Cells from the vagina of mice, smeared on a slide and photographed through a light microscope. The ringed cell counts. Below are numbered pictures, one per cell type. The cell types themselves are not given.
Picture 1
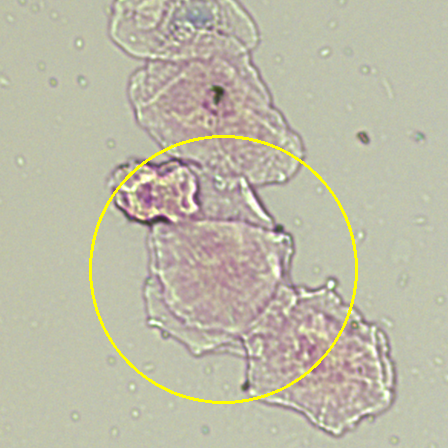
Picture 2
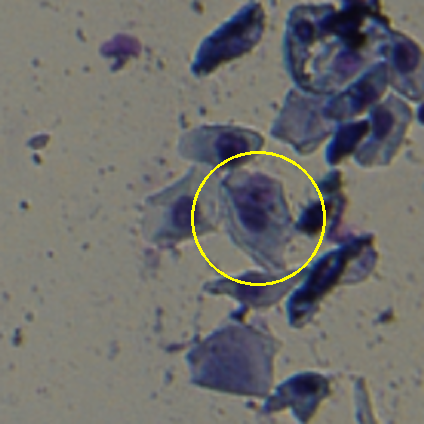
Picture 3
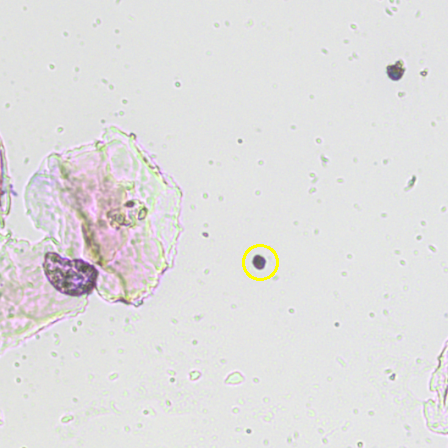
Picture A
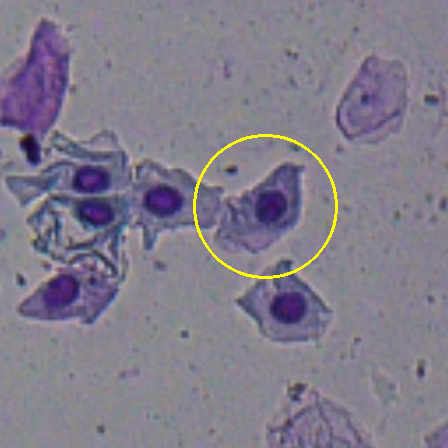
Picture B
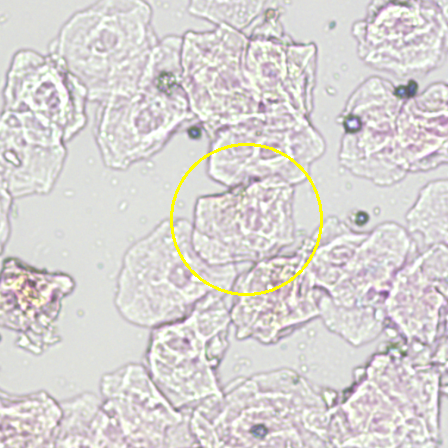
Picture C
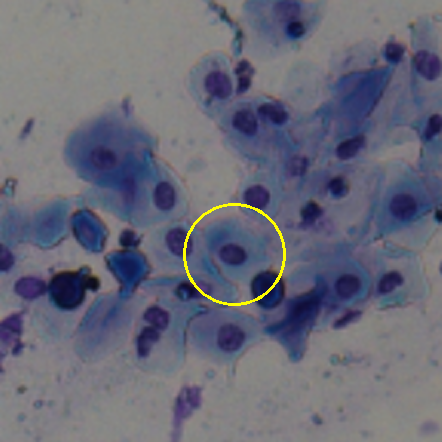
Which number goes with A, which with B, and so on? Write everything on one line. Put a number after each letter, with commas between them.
A 2, B 1, C 2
